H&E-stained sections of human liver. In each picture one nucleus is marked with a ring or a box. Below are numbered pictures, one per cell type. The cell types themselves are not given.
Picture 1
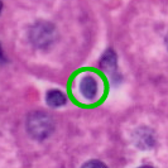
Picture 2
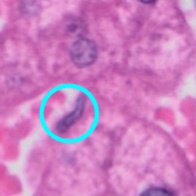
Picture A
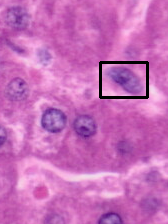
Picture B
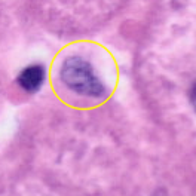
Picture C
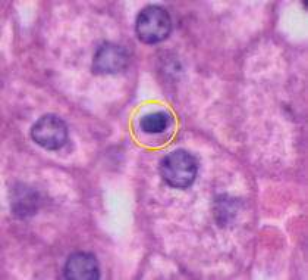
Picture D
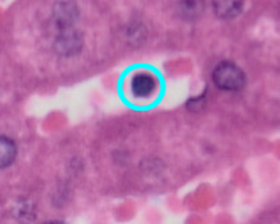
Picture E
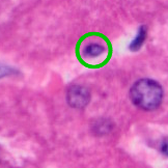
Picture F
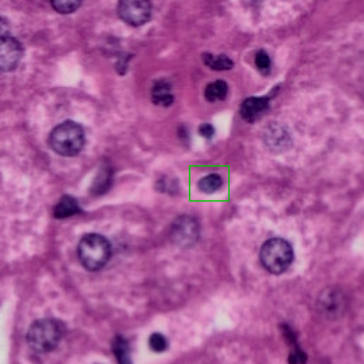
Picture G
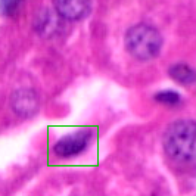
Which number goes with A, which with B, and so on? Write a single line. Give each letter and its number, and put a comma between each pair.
A 2, B 2, C 1, D 1, E 1, F 1, G 2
